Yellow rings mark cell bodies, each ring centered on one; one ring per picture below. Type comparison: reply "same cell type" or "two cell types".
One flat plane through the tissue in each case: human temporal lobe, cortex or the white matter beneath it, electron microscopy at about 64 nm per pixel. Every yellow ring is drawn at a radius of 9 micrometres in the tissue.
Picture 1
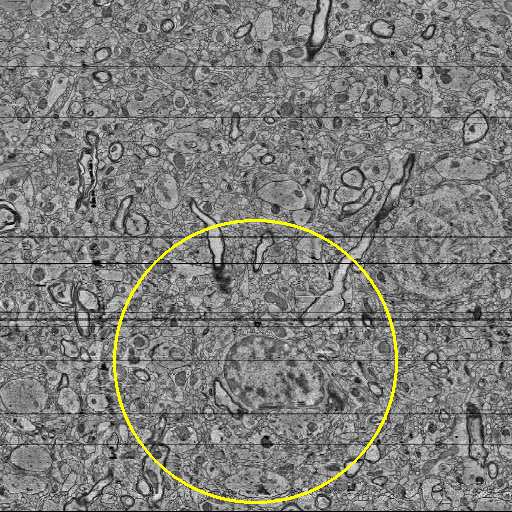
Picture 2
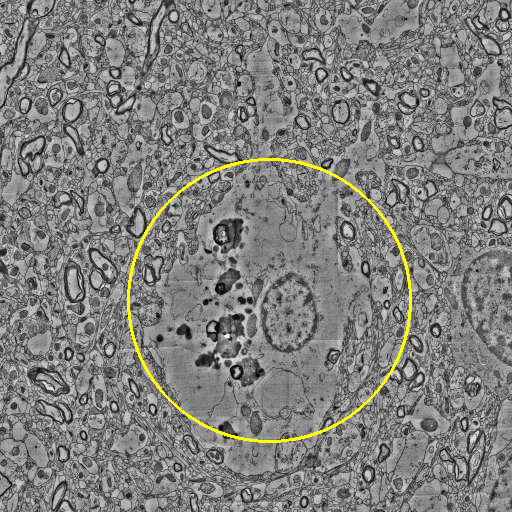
two cell types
